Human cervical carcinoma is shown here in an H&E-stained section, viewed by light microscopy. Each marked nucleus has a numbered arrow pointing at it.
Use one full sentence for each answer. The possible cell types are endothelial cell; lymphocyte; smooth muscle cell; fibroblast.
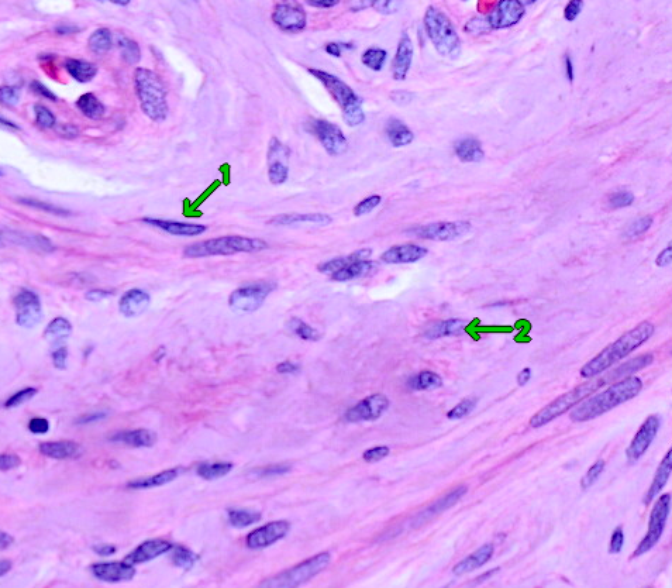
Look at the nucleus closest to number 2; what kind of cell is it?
The nearest nucleus to number 2 belongs to a smooth muscle cell.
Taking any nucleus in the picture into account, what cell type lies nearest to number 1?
The nucleus nearest to number 1 is that of a smooth muscle cell.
